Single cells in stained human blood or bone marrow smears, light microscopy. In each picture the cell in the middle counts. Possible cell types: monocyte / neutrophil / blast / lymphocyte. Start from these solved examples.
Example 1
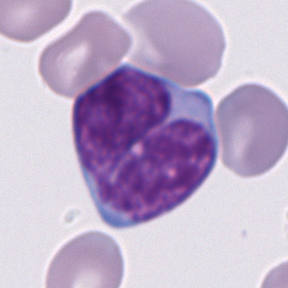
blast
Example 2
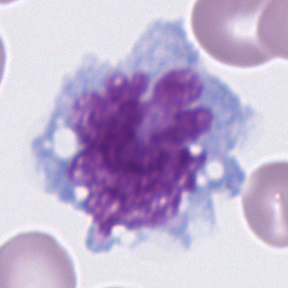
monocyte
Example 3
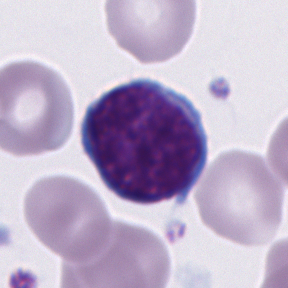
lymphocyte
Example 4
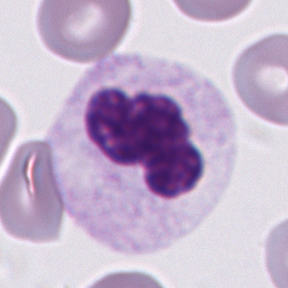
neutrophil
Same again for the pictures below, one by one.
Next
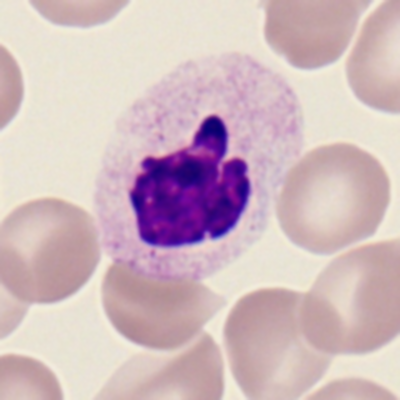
neutrophil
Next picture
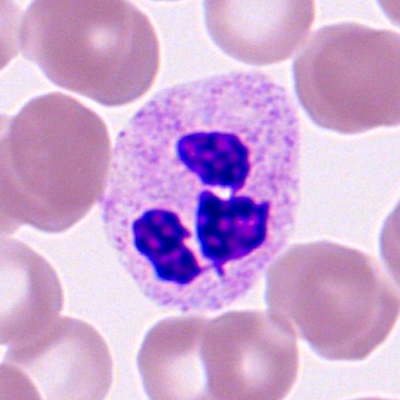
neutrophil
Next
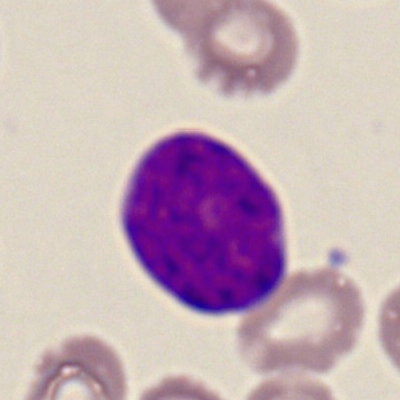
blast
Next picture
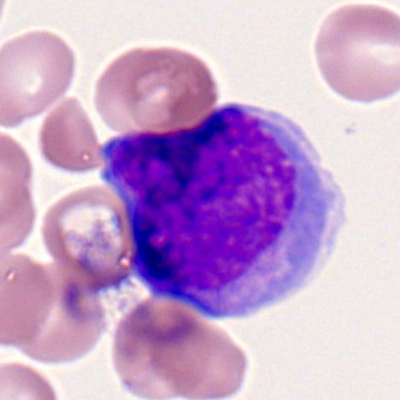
blast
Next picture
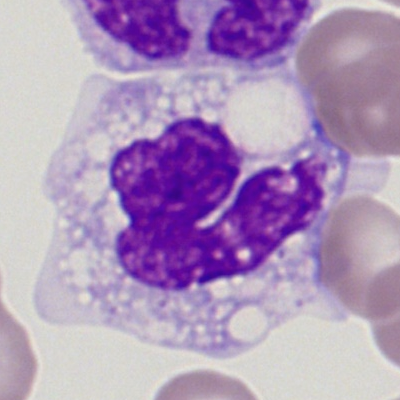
monocyte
